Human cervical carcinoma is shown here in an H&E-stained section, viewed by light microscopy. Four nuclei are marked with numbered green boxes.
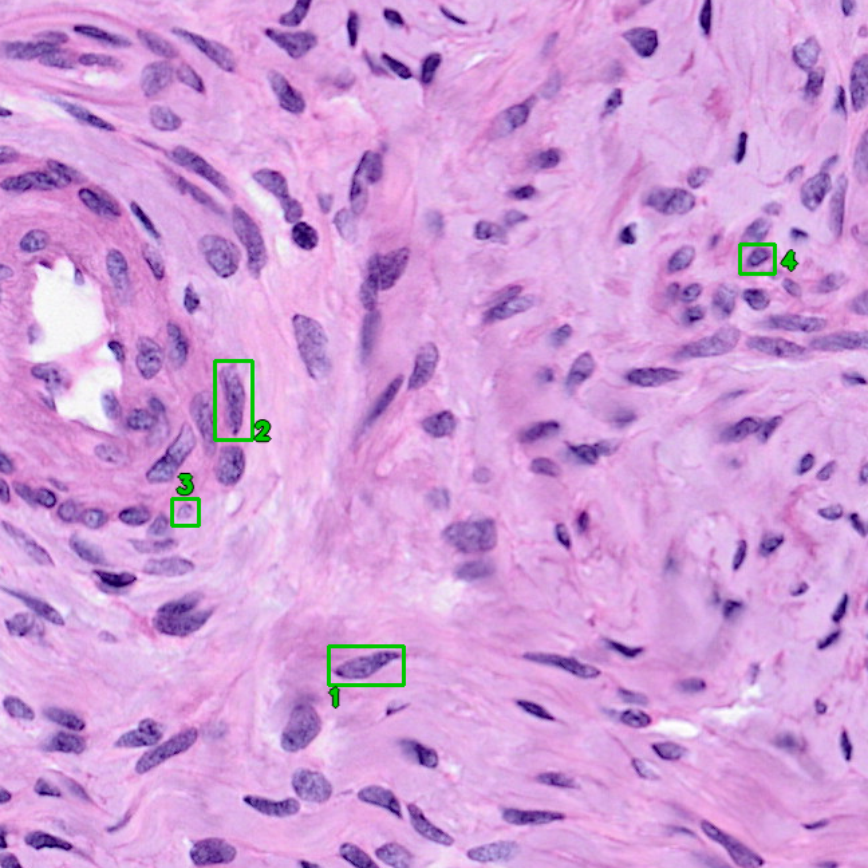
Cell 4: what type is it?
smooth muscle cell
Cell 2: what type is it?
smooth muscle cell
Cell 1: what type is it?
fibroblast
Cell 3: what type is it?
smooth muscle cell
